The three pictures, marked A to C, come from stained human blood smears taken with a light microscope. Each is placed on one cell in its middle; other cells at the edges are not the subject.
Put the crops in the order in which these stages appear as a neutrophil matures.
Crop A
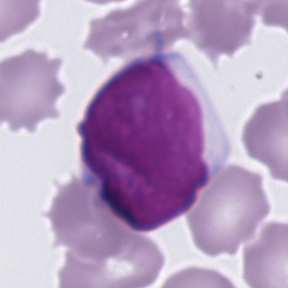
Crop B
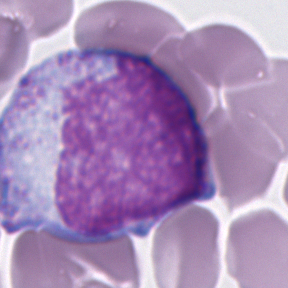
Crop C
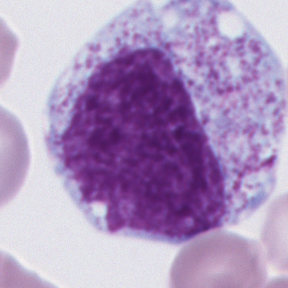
A, B, C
